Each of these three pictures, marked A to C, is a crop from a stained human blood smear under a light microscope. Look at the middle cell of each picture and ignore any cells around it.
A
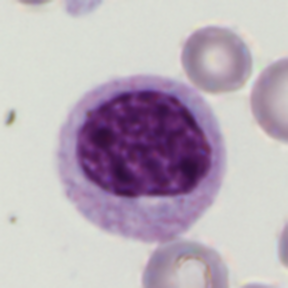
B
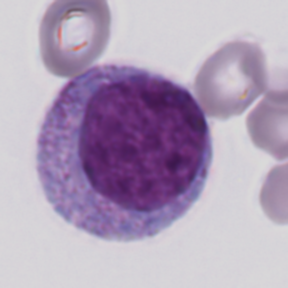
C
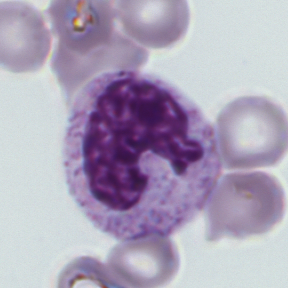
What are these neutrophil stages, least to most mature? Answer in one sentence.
Ordered from the youngest stage to the most mature, the crops are crop B (a promyelocyte), crop A (a myelocyte) and crop C (a band neutrophil).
